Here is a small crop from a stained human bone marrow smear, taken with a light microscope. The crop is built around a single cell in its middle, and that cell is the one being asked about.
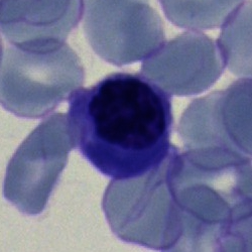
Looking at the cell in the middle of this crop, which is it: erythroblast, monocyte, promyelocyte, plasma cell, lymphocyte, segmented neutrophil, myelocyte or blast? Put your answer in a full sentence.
In the middle of this smear crop, the cell is an erythroblast.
